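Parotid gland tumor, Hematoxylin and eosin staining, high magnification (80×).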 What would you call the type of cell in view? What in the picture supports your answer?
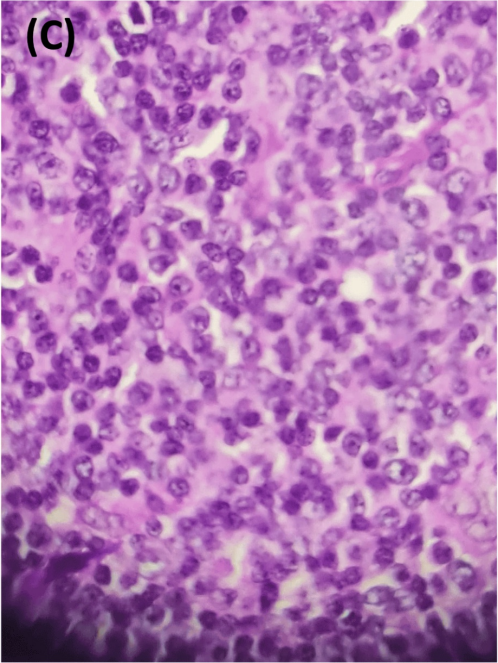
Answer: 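Sheets of closely packed round cells with scant cytoplasm. Nuclei are round to irregular and darkly stained. Some nuclei show visible nucleoli.
Conclusion: atypical lymphoid cells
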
